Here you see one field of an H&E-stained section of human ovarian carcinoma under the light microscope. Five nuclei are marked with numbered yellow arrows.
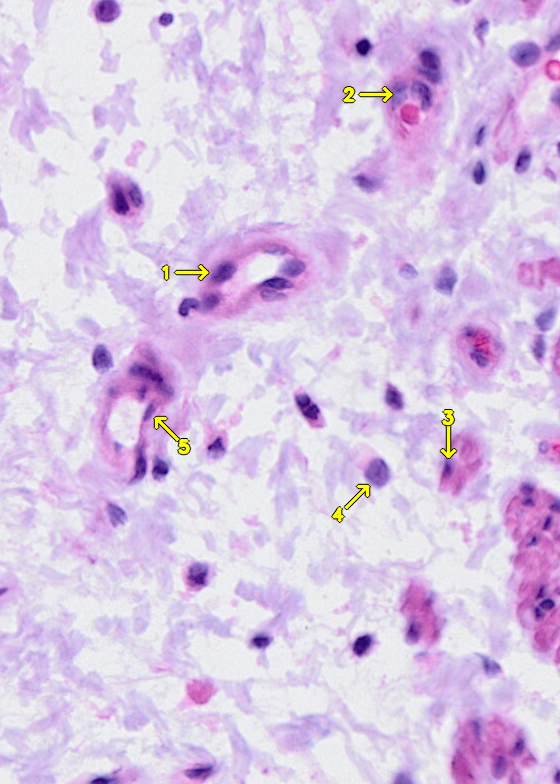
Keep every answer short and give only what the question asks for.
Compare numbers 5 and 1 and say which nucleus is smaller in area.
5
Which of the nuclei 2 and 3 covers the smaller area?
3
